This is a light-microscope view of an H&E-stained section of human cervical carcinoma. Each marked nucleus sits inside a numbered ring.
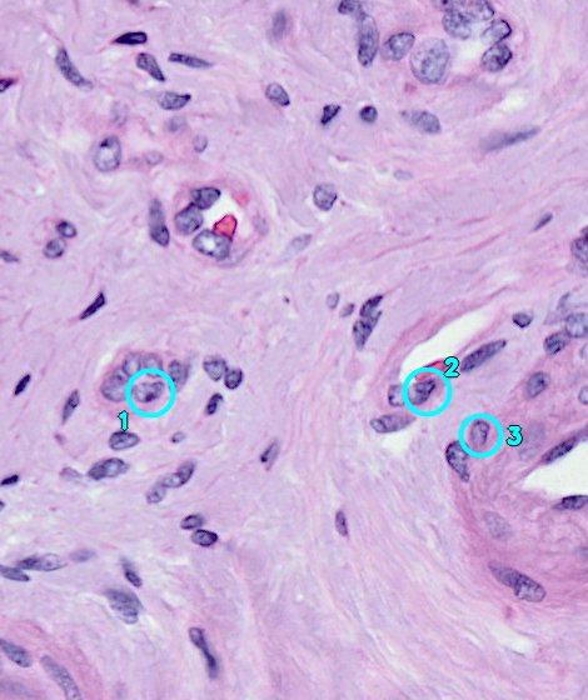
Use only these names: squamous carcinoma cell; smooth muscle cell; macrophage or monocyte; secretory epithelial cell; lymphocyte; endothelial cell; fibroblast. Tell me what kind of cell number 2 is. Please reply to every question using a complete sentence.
The cell referenced by the number 2 is an endothelial cell in this field.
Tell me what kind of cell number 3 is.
In the tissue shown, cell 3 is a smooth muscle cell.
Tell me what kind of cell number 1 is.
The cell bearing label 1 corresponds to an endothelial cell.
